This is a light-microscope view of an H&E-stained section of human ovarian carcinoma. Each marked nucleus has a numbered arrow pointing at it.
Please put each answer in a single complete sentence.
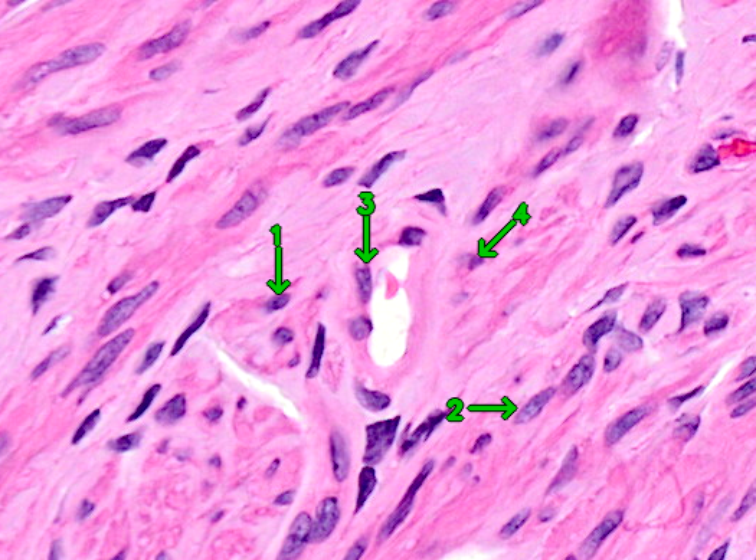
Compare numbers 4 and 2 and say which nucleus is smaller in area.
The smaller nucleus is 4, and 2 covers roughly 2 times its area.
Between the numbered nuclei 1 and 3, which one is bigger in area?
Of the two, number 3 is bigger and takes up about 2 times the area of number 1.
